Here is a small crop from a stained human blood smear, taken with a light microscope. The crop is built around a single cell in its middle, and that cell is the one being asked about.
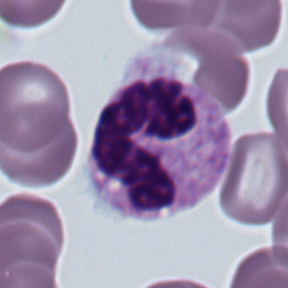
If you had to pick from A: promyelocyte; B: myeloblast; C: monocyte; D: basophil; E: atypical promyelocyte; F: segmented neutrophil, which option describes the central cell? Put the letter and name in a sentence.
Option F is correct in that the central cell is a segmented neutrophil.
